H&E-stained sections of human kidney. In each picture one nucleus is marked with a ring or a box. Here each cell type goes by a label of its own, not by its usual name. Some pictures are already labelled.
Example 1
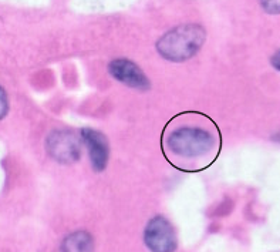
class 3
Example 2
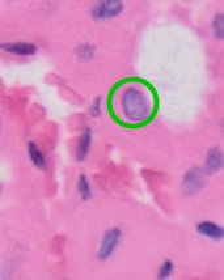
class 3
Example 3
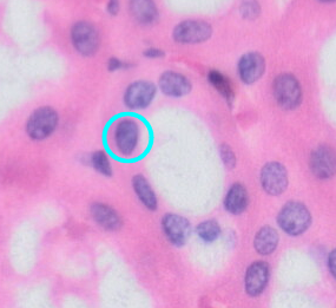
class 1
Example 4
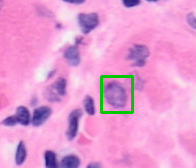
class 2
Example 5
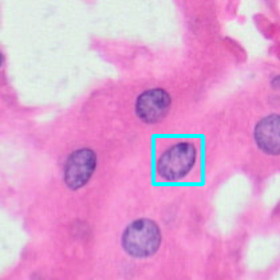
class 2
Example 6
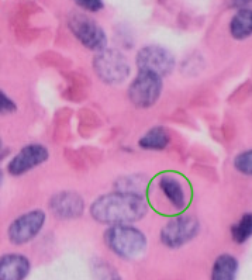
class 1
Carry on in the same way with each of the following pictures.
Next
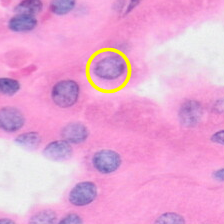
class 2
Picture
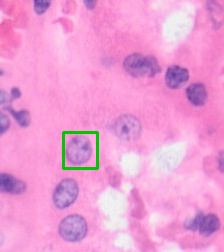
class 2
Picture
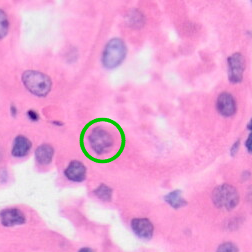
class 2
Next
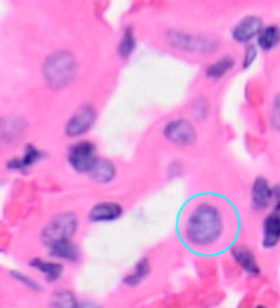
class 1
